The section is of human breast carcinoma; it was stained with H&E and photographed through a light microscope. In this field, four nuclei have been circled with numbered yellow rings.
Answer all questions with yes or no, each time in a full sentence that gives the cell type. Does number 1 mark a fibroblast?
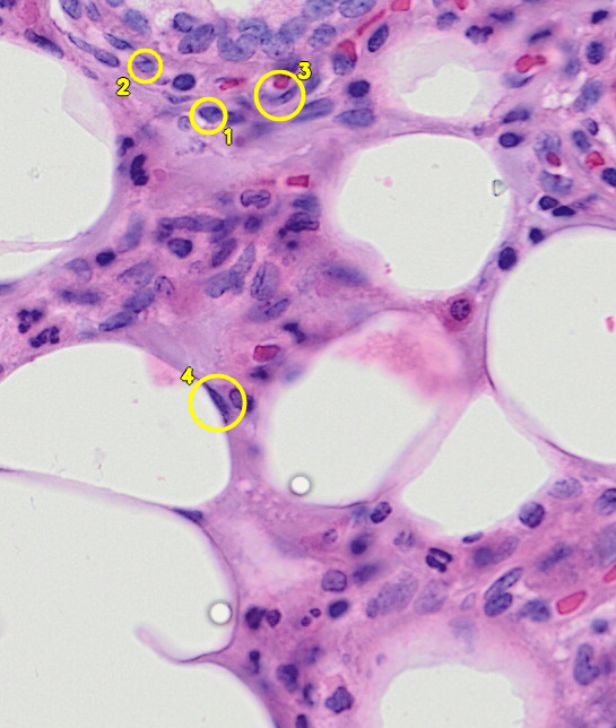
No, cell number 1 is identified as a lymphocyte, not as a fibroblast.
